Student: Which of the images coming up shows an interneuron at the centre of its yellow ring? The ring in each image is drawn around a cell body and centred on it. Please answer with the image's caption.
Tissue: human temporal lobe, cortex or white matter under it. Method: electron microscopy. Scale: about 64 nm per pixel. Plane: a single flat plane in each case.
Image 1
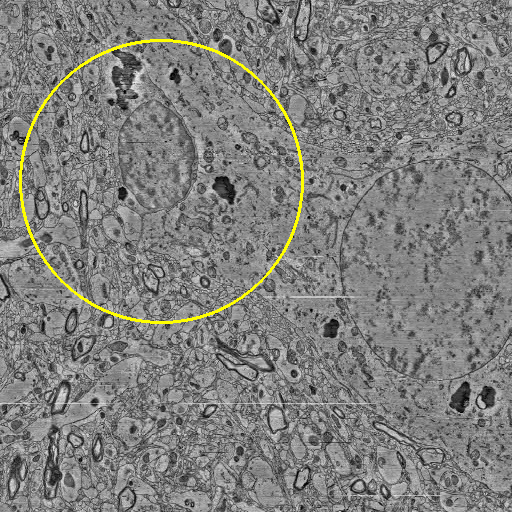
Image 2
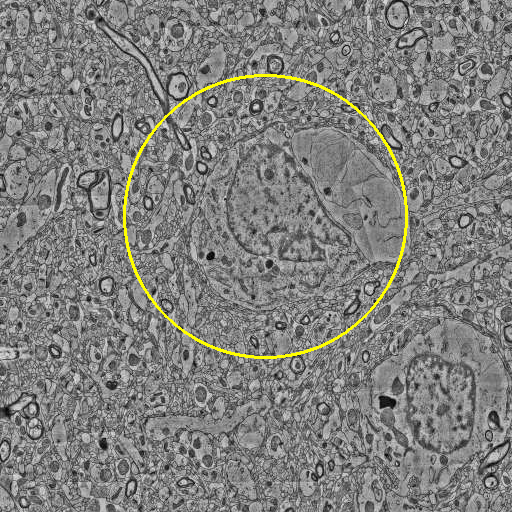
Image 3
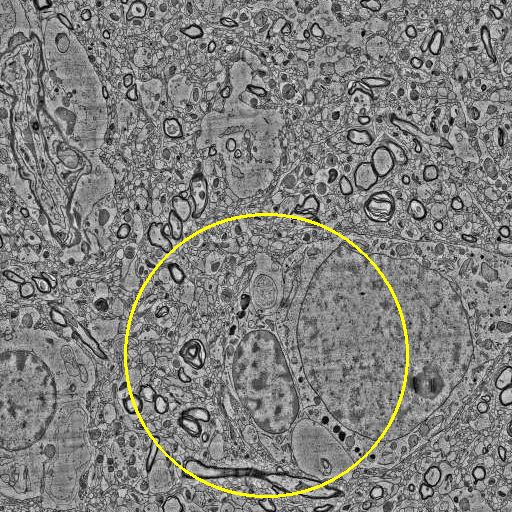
Image 2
